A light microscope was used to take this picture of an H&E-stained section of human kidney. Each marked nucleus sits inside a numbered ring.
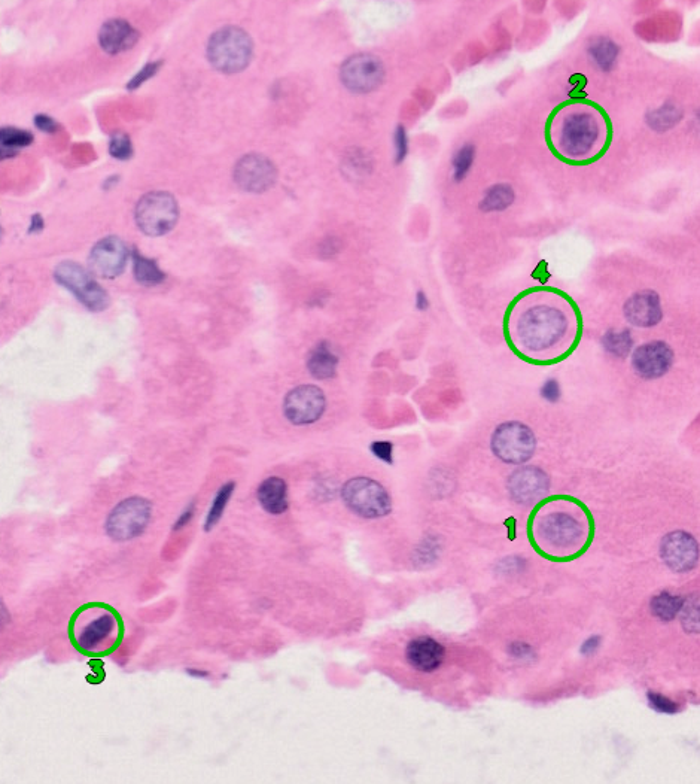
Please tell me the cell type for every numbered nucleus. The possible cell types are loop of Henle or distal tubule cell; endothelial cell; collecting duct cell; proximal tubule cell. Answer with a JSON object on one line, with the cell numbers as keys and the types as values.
{"1": "proximal tubule cell", "2": "proximal tubule cell", "3": "endothelial cell", "4": "proximal tubule cell"}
